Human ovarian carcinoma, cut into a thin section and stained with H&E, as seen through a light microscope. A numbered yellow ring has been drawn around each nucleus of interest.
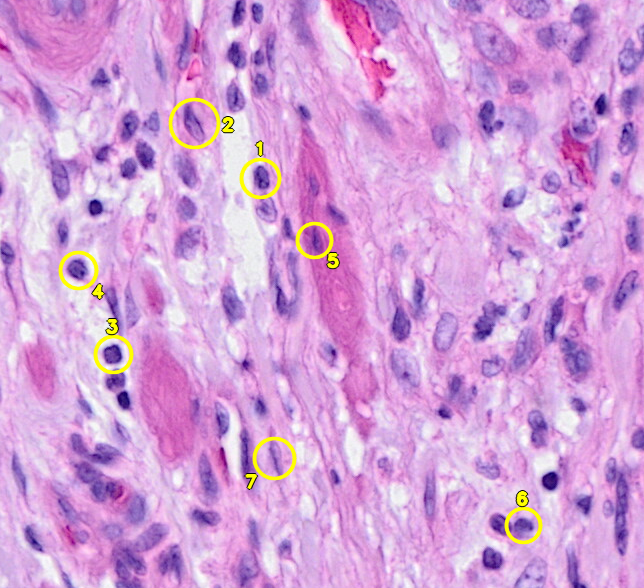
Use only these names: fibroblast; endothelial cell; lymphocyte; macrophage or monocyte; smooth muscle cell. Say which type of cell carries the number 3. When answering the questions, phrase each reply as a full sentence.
As for number 3, that cell is a lymphocyte.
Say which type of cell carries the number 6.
Cell 6, among those numbered, is a lymphocyte.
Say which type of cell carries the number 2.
The cell referred to as 2 is an endothelial cell.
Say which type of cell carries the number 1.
Here the cell numbered 1 is a lymphocyte.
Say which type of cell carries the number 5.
To a smooth muscle cell belongs the nucleus marked 5.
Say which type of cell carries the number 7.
To a fibroblast belongs the nucleus marked 7.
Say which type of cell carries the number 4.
The one labeled 4 is a lymphocyte, to put it simply.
